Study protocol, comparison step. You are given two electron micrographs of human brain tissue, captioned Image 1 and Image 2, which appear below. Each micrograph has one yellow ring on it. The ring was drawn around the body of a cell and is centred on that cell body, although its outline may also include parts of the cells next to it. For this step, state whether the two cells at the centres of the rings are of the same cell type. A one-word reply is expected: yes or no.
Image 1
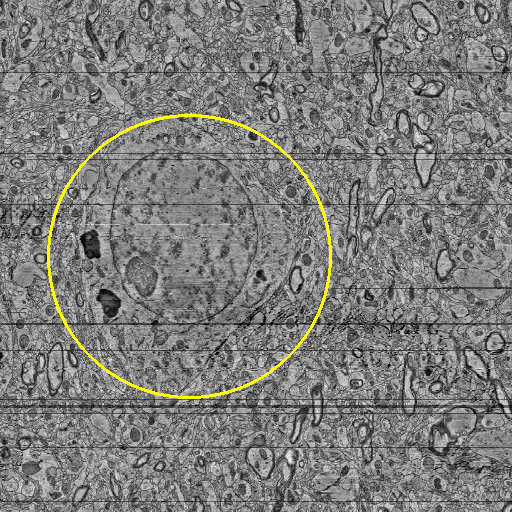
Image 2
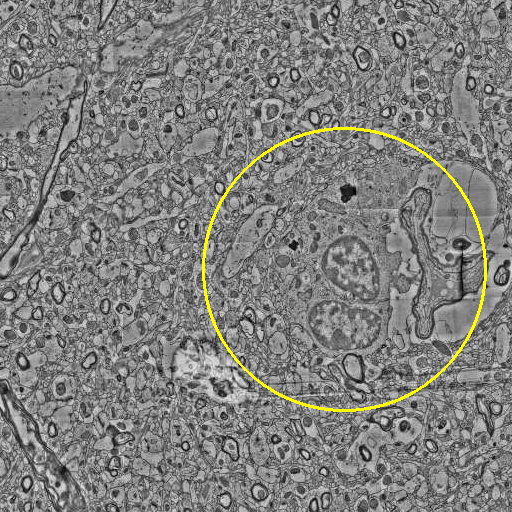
no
